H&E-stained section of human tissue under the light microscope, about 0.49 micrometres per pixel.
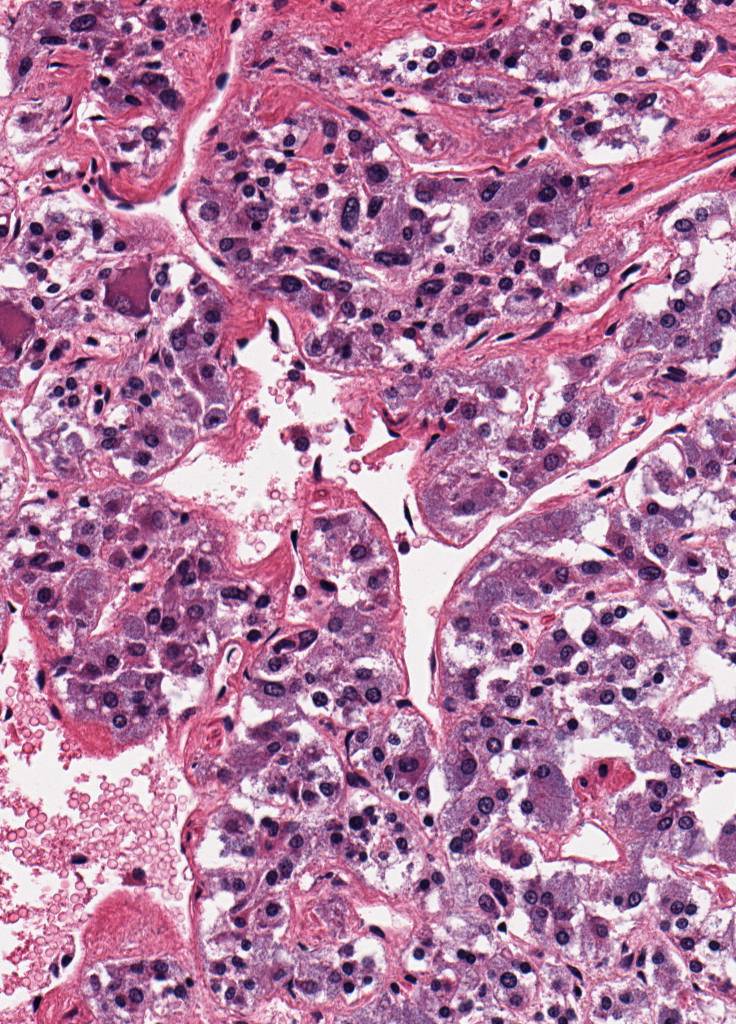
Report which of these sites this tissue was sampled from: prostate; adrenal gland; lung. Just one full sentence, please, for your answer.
It is from the adrenal gland that this section was cut.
